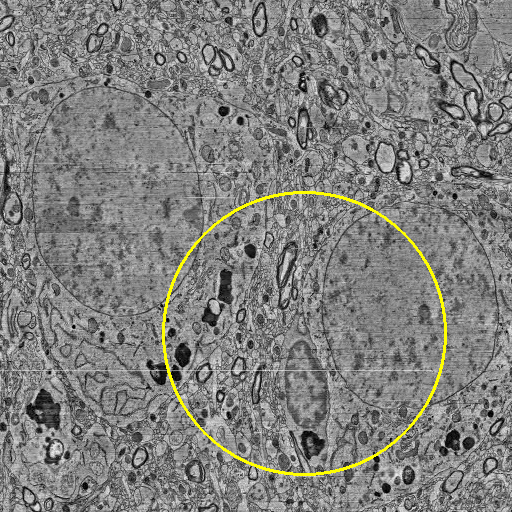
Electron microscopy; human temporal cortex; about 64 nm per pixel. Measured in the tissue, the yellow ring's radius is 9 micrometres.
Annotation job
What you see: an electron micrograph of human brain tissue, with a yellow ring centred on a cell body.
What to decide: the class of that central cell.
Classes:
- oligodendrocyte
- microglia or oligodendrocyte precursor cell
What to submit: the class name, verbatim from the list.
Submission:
oligodendrocyte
